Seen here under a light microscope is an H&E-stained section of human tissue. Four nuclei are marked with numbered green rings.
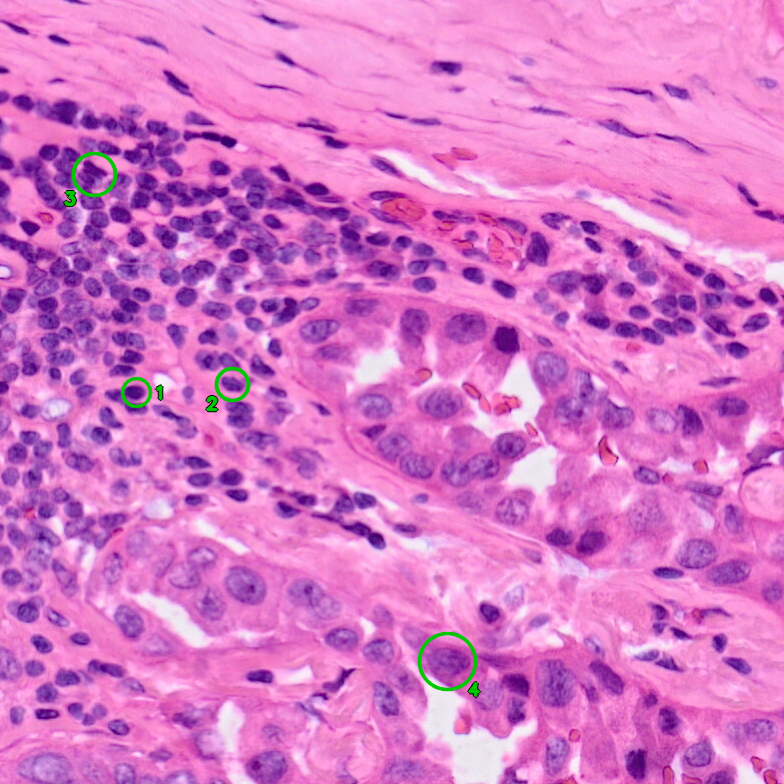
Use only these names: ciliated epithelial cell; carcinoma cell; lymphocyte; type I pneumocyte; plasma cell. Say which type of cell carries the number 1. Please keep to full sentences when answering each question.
Identified as a lymphocyte is the cell bearing the number 1.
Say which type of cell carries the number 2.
Nucleus 2 in this section belongs to a lymphocyte.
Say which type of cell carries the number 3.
Cell 3 in the field is a lymphocyte.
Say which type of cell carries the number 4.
Cell 4 in the field of view is a carcinoma cell.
